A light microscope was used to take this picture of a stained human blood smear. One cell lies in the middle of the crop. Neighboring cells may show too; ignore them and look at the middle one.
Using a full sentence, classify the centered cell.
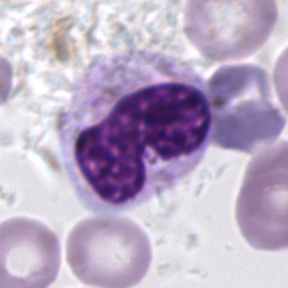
Whatever else lies nearby, the middle cell is a band neutrophil.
